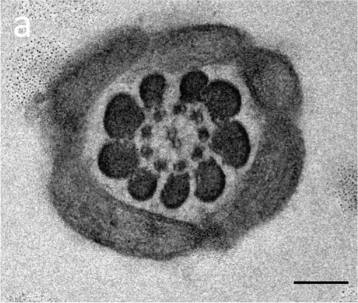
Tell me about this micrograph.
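This is a cross-section through the mid-piece of a sperm flagellum. At the centre lies the axoneme: a ring of small paired microtubules surrounding two single central tubules. Around it, nine large, electron-dense rounded outer dense fibres form an even circle, each one lying outside a doublet. Outside these, a sheath of membrane-bound bodies with grey contents encircles the whole core, and the plasma membrane bounds the section. The arrangement is regular and symmetrical, the expected orderly structure of a normal mid-piece.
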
